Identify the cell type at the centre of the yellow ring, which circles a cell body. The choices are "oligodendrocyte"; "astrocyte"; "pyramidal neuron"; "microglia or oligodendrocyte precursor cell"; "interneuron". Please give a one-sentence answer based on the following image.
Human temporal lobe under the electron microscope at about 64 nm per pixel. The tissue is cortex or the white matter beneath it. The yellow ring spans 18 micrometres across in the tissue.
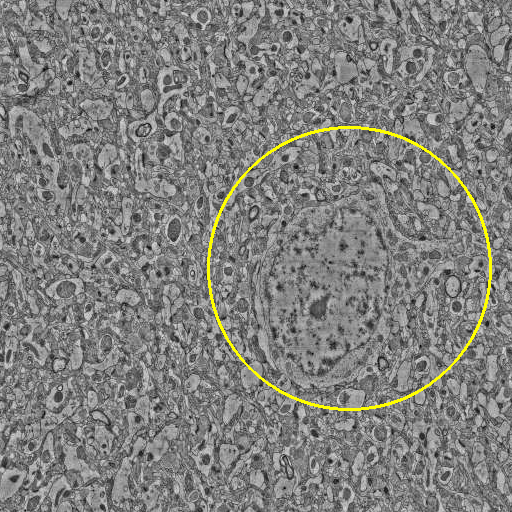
The cell marked by the ring is an interneuron.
